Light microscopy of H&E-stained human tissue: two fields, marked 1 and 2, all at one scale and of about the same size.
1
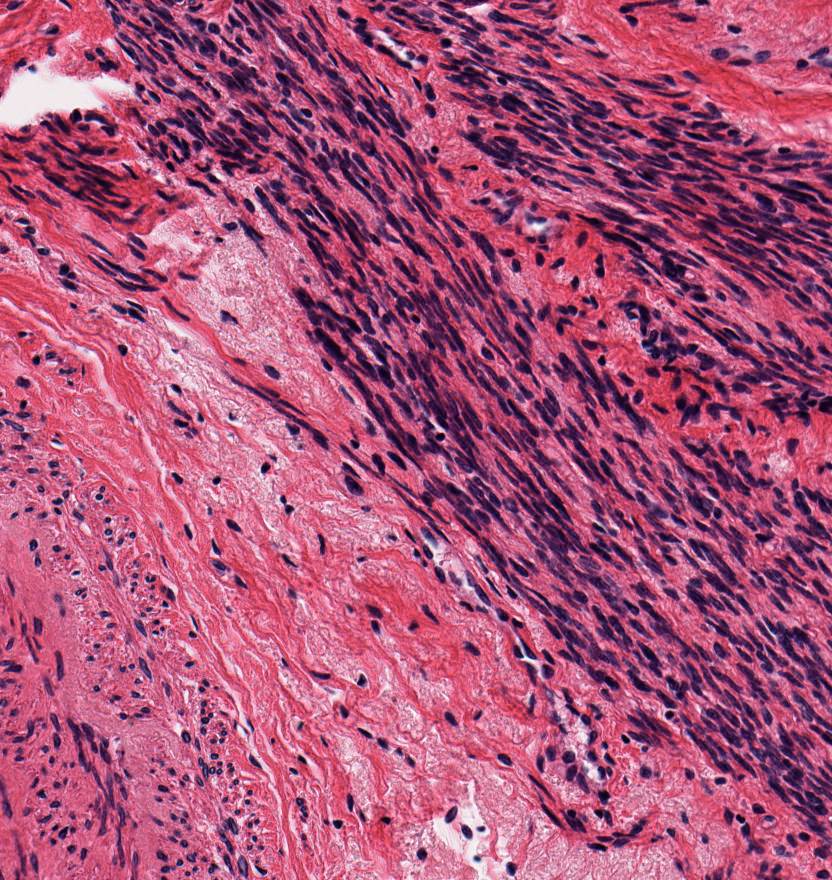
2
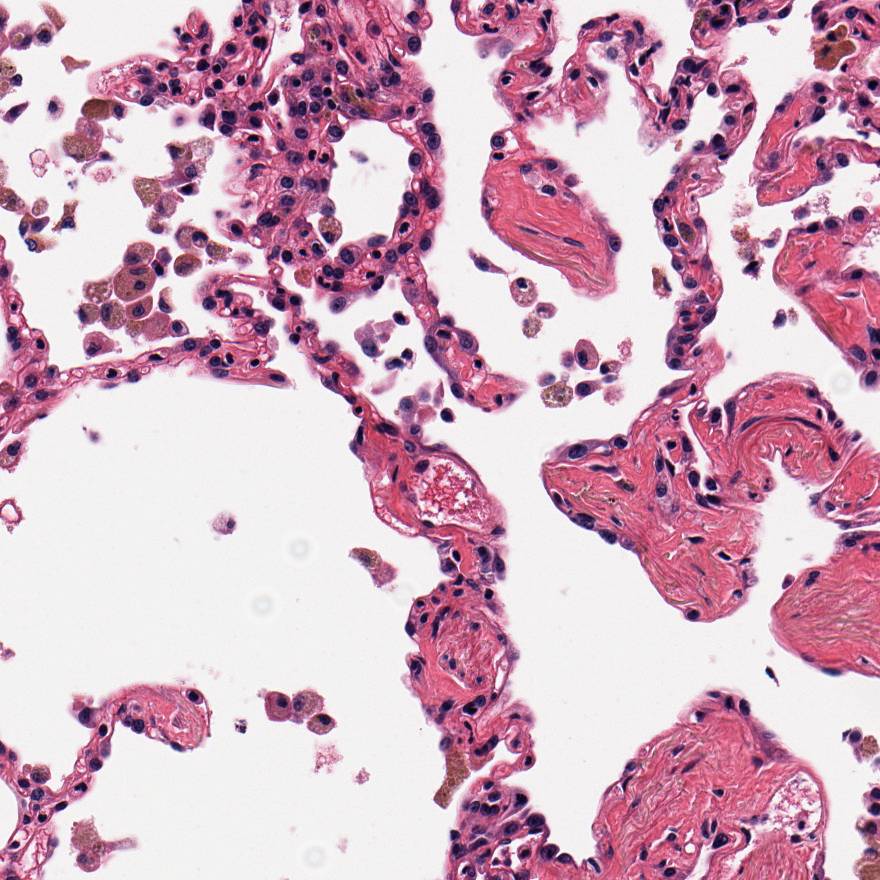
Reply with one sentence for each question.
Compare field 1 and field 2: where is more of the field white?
More of field 2 is empty and white.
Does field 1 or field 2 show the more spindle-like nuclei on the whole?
It is field 1 whose nuclei are the more elongated.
